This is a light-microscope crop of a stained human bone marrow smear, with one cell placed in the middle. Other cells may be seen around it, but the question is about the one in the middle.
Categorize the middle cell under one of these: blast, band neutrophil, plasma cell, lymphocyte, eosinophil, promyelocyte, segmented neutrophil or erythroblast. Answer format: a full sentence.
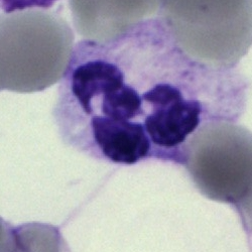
In short, the cell at the center is a segmented neutrophil.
